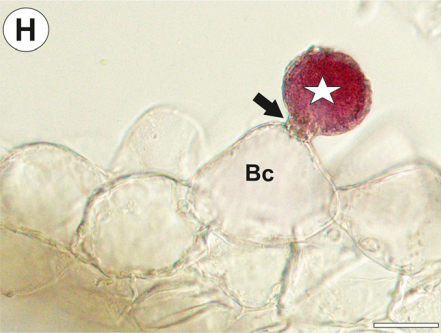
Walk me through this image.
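A short pedestal cell connects the basal cell to a spherical multicellular head. The head is intensely red-purple, while the surrounding epidermal and underlying cells are colourless with thin walls.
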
